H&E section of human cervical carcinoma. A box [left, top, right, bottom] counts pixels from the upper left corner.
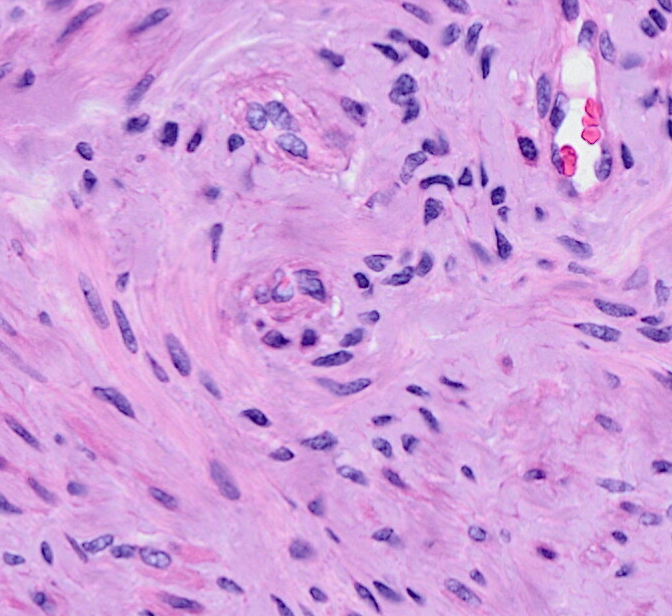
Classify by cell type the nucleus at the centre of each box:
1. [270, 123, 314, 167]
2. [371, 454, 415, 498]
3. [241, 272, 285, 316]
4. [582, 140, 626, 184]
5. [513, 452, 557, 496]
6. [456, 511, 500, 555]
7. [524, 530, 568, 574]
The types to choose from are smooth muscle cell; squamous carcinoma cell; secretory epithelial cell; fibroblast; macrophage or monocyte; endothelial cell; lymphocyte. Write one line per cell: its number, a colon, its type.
1: endothelial cell
2: smooth muscle cell
3: endothelial cell
4: endothelial cell
5: smooth muscle cell
6: smooth muscle cell
7: smooth muscle cell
